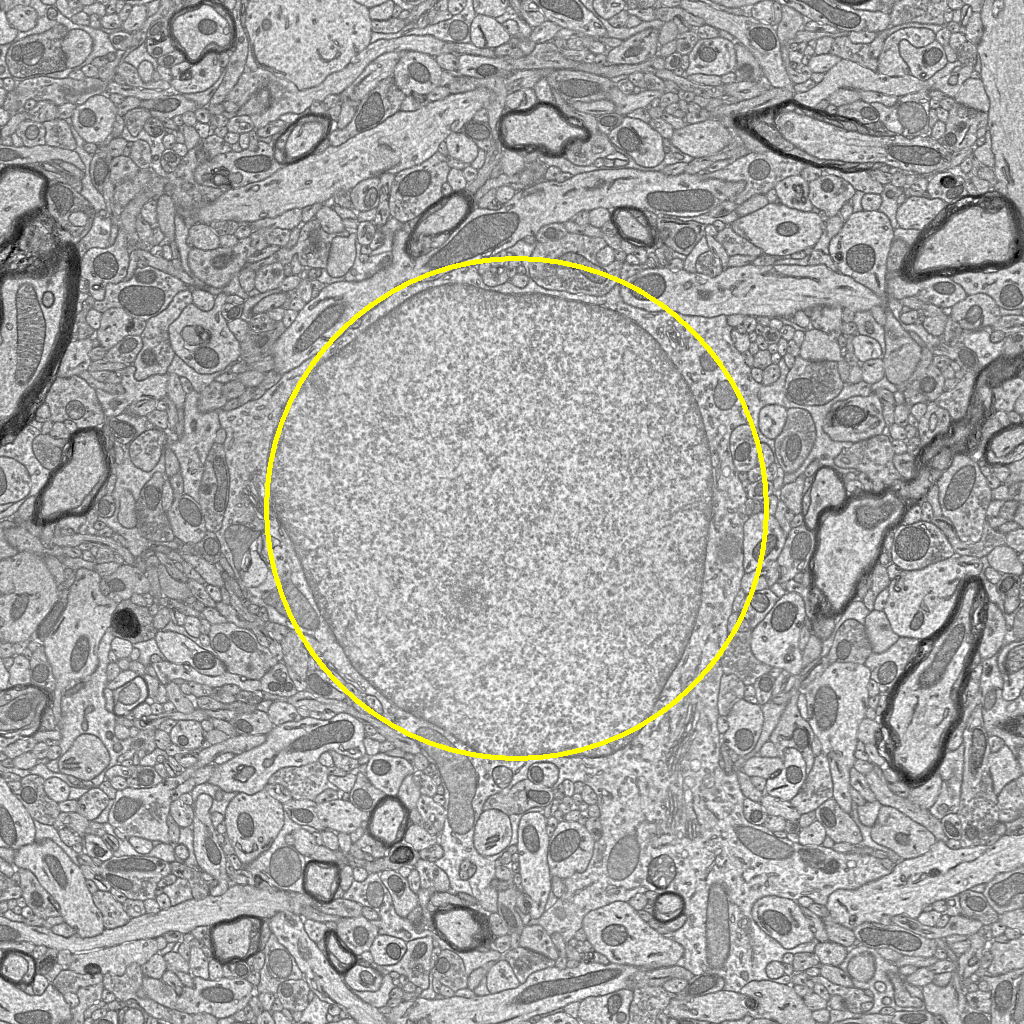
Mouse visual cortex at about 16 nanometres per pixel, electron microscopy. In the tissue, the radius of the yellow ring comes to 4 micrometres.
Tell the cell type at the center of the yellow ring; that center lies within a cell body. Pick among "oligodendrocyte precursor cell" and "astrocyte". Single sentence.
The ring's center lies in the body of an astrocyte.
